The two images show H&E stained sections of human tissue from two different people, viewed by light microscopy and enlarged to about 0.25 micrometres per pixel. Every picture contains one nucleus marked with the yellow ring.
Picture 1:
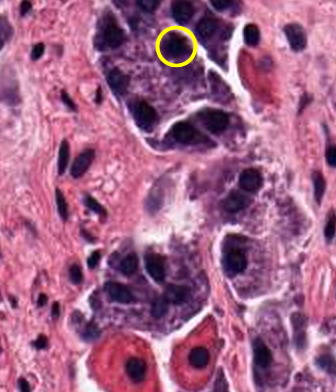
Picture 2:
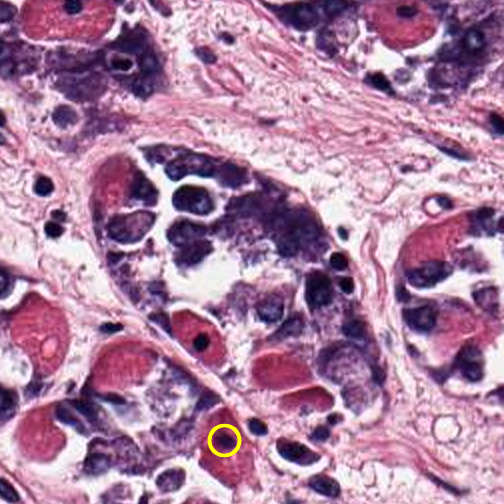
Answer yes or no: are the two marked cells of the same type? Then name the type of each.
No, the first is a chief cell and the second a parietal cell.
